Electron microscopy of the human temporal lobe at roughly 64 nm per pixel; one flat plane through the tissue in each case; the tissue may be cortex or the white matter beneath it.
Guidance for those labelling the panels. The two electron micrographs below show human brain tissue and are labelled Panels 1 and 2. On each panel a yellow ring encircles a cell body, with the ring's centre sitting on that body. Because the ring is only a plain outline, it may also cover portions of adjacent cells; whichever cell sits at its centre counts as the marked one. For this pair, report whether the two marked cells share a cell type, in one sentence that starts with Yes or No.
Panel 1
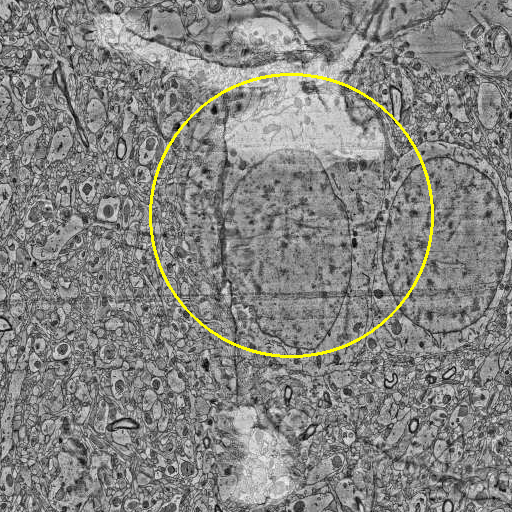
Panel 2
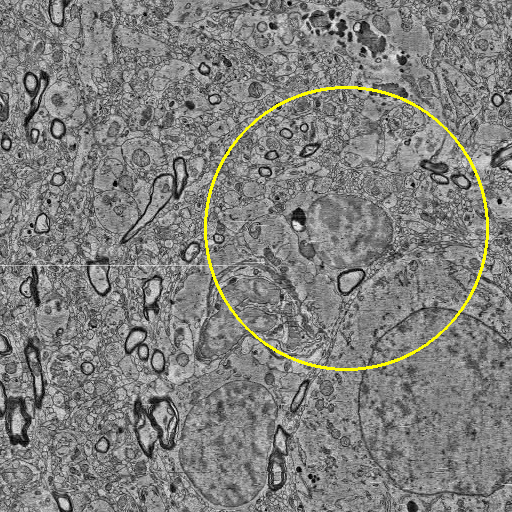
No, in Panel 1 and Panel 2 the marked cells at the ring centres are of two types.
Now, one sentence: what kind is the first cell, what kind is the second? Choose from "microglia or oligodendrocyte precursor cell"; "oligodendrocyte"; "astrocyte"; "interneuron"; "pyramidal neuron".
The first picture has a pyramidal neuron at its ring centre, and the second has an oligodendrocyte.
